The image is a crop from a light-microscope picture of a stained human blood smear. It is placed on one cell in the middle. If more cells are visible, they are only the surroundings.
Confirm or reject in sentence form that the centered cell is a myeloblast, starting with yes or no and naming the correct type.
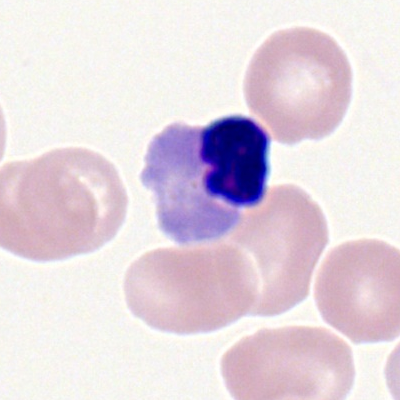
No, it is an erythroblast that sits in the middle, not a myeloblast.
